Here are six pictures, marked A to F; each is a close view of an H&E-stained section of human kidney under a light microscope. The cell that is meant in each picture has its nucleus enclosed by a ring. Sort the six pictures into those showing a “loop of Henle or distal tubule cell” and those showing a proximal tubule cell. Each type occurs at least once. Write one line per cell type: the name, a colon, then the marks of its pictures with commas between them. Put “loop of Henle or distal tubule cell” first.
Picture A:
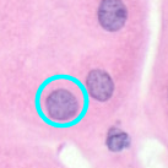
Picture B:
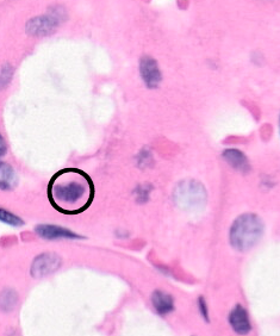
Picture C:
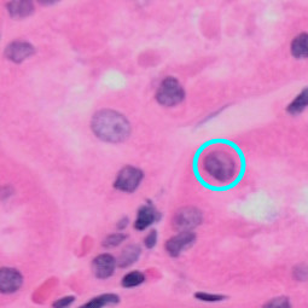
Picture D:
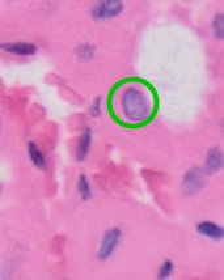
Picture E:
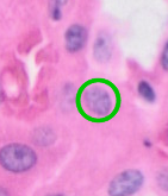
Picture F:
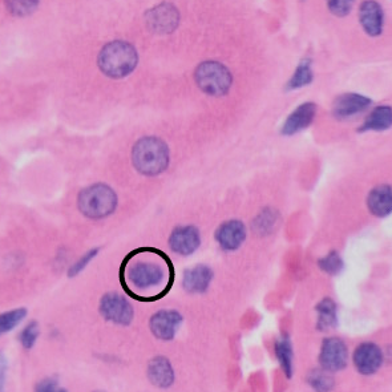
loop of Henle or distal tubule cell: B, D, E, F
proximal tubule cell: A, C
